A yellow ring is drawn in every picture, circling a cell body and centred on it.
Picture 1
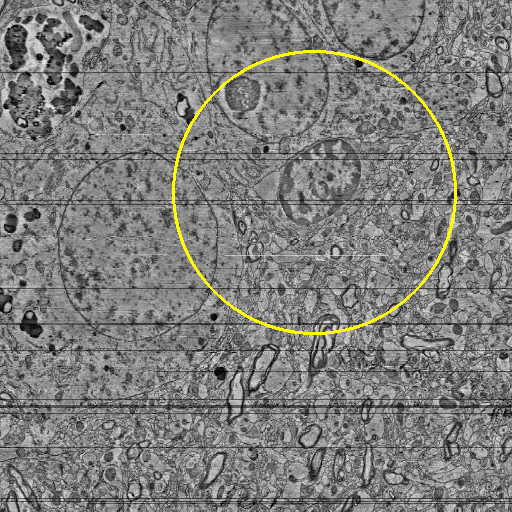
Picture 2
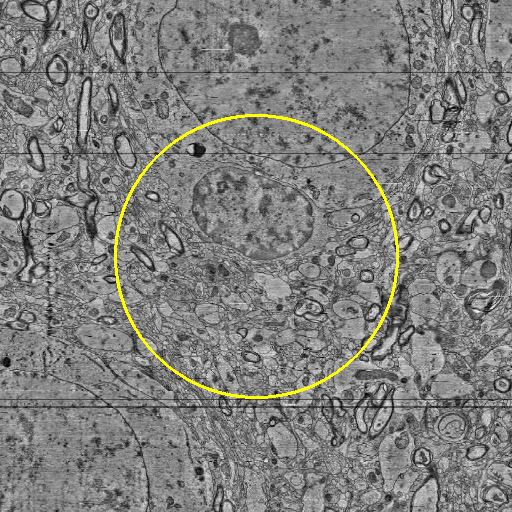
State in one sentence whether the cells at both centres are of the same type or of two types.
The cells at the two ring centres, one per picture, are of two types.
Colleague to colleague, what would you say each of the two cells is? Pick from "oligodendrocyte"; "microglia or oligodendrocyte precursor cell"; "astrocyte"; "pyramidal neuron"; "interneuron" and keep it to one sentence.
The cell in the first picture is a microglial cell or oligodendrocyte precursor cell; the second picture's cell is an oligodendrocyte.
